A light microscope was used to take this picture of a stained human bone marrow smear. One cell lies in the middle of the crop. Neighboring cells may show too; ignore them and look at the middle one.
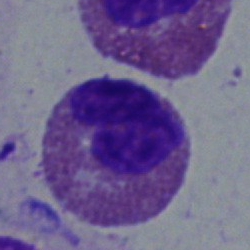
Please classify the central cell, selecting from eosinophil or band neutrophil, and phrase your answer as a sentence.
The cell in the middle of the field of view is an eosinophil.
